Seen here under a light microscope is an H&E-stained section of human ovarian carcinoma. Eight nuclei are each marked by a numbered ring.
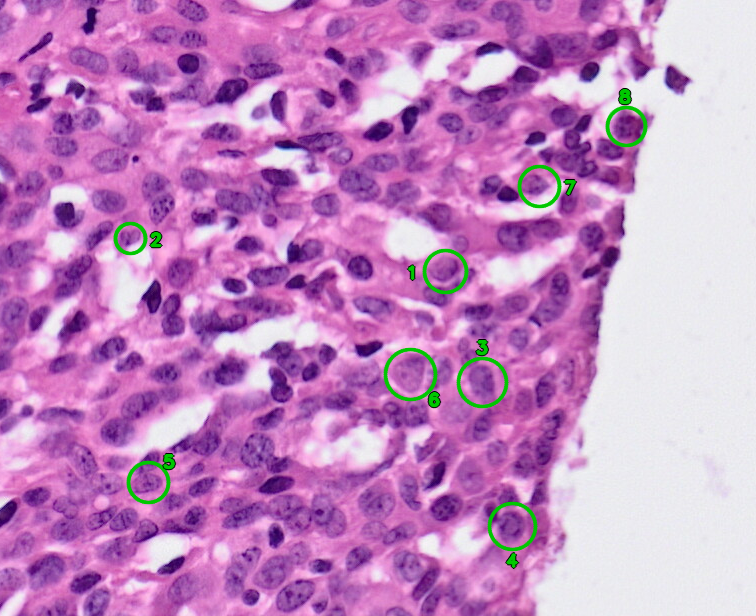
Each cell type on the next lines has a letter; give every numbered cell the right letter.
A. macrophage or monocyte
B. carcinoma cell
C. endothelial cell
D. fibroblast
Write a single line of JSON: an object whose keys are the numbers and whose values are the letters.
{"1": "B", "2": "A", "3": "B", "4": "B", "5": "B", "6": "B", "7": "A", "8": "A"}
